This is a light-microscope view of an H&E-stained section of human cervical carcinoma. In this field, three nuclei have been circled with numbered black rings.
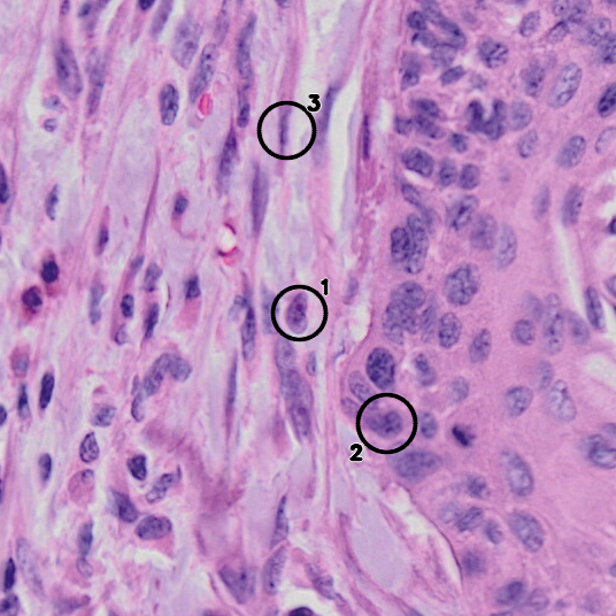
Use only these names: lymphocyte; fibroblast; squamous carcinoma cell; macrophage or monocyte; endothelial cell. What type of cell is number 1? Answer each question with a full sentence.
The numbered cell 1 in this field is a macrophage or monocyte.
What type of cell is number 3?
Number 3 is placed on a fibroblast here.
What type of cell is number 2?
The cell marked with the number 2 is a squamous carcinoma cell.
